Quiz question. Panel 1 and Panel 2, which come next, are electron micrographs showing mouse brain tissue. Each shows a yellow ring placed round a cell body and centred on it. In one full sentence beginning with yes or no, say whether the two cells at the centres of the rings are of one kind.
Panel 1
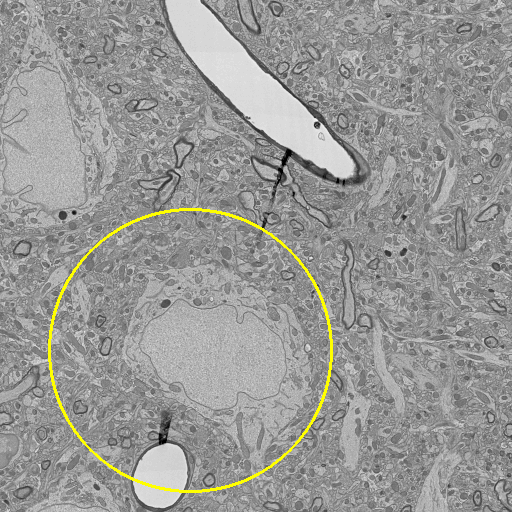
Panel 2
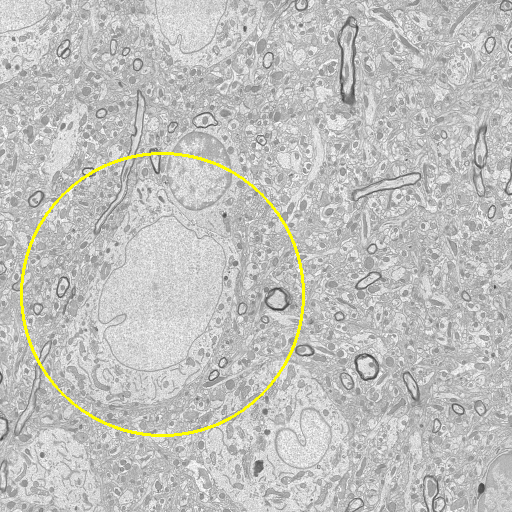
Yes, Panel 1 and Panel 2 show one kind of cell at the centre of the ring.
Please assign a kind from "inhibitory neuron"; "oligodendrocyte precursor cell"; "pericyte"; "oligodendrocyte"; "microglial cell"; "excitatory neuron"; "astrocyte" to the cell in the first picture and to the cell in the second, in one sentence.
The cell in the first picture is an excitatory neuron, and so is the one in the second.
